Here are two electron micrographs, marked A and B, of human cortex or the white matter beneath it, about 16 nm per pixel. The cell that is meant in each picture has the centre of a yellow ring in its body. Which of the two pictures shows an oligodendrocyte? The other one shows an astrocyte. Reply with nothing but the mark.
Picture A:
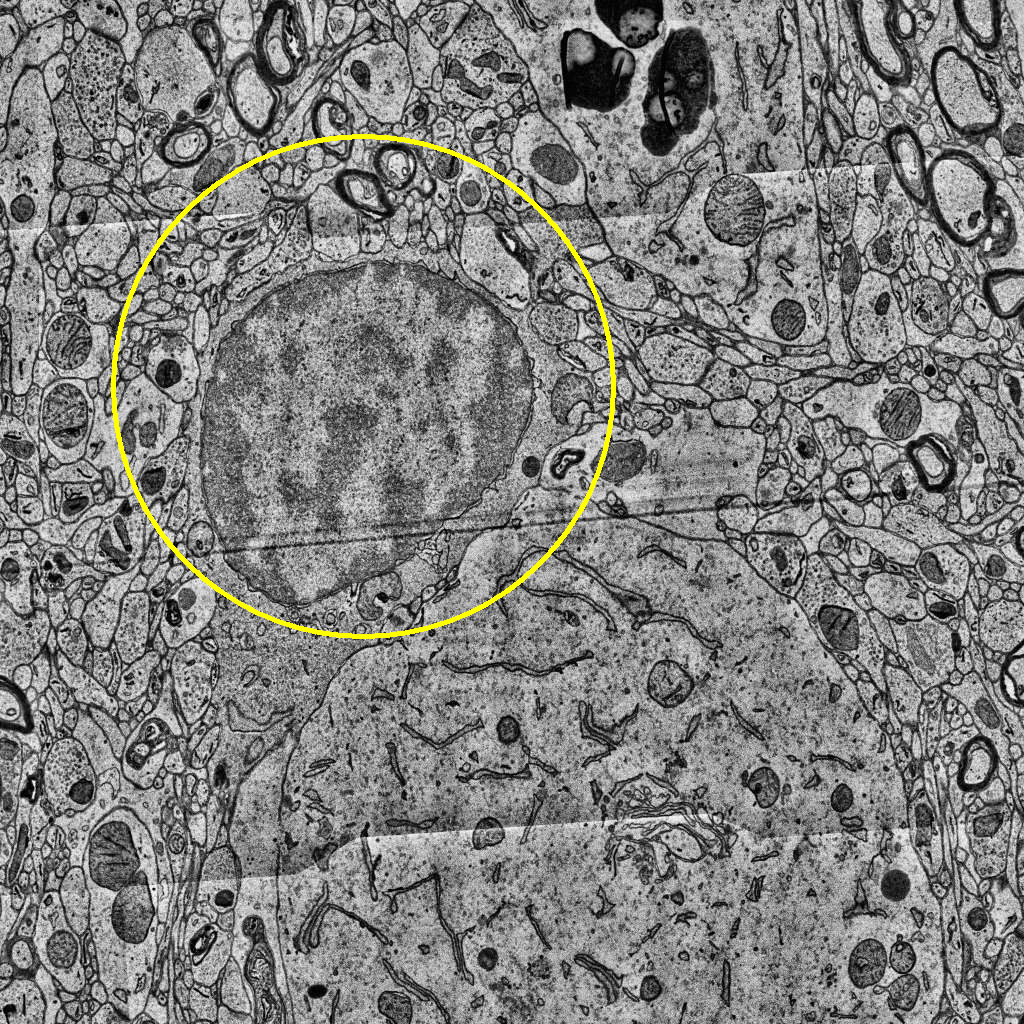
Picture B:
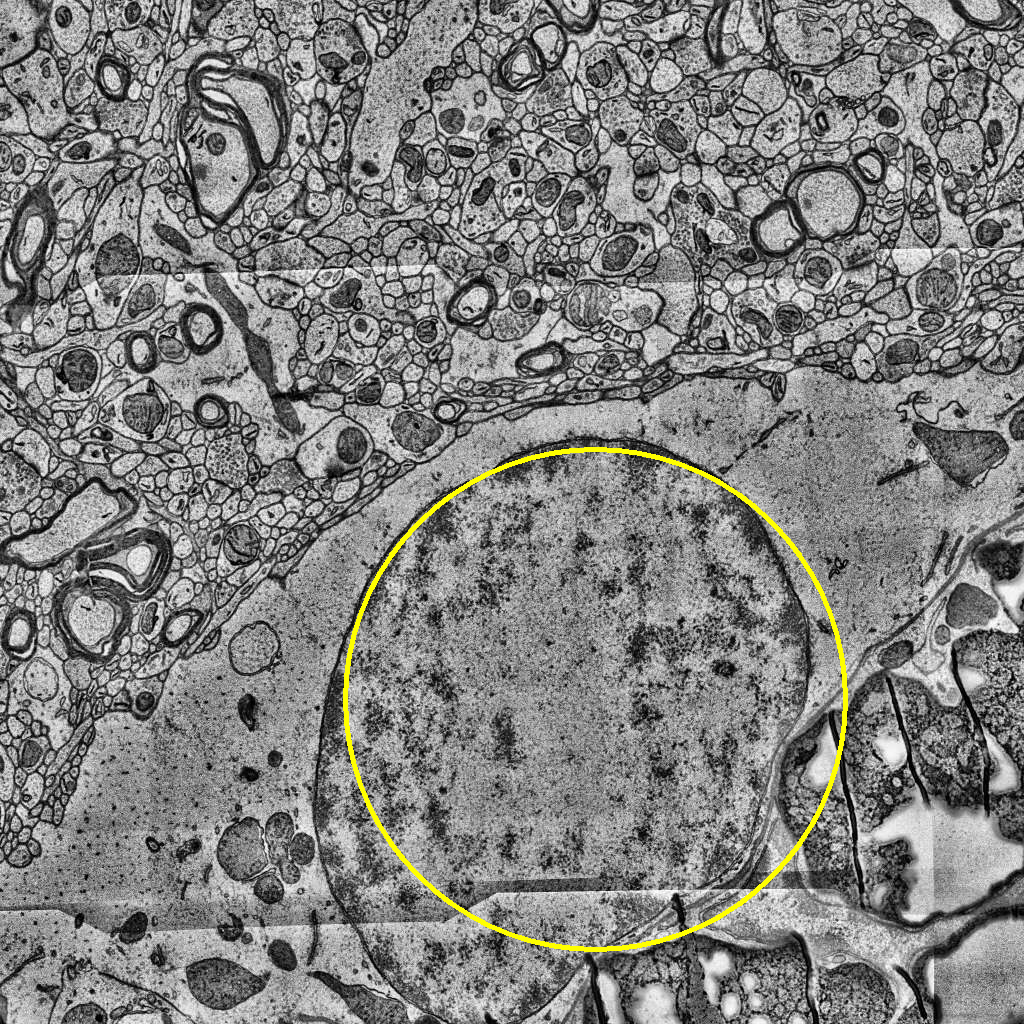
A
